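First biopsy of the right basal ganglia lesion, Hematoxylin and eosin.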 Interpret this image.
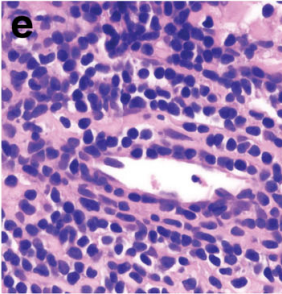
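This is a high-power view of brain tissue showing mature-appearing lymphocytes gathered around a small blood vessel. The lymphocytes are small, round cells with dense, dark purple nuclei and very little cytoplasm. They are packed in layers around the thin-walled vessel, whose open lumen lies in the centre, forming a perivascular cuff. Pink background tissue shows at the edges of the field.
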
